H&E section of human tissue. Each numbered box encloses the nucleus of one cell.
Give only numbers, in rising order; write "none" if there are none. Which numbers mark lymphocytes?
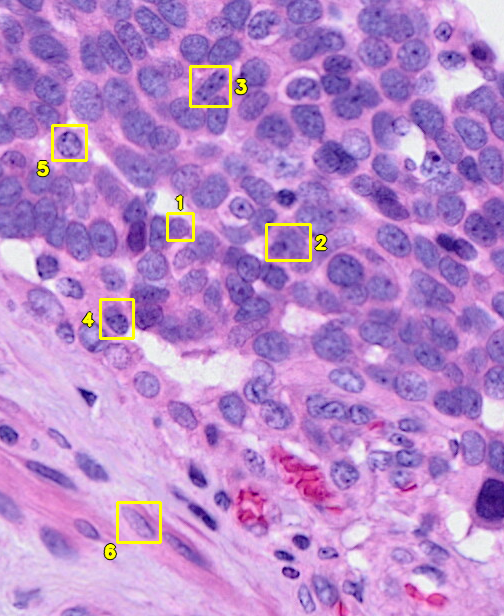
none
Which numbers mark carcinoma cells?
1, 2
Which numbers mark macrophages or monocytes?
3, 4, 5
